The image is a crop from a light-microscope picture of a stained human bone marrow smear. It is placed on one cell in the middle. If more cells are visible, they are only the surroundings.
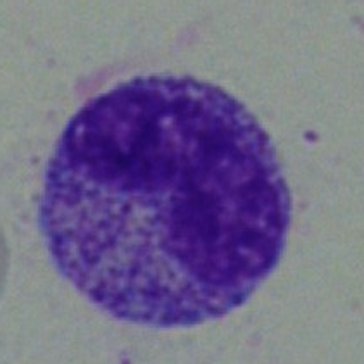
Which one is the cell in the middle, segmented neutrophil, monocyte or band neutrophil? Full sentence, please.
This particular crop is centered on a band neutrophil.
